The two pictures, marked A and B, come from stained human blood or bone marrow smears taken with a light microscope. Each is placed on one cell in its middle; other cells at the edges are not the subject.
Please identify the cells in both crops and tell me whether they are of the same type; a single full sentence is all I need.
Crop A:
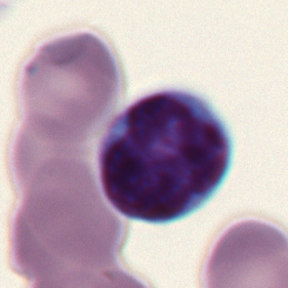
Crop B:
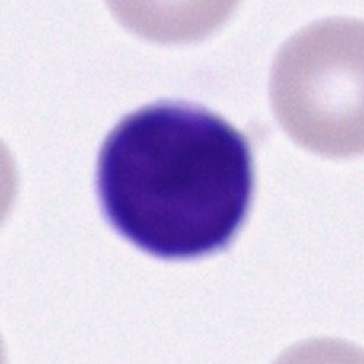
Yes, the cells at the middle of both crops are lymphocytes.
